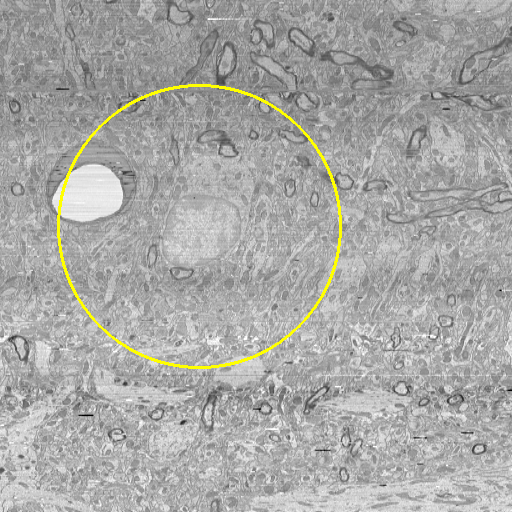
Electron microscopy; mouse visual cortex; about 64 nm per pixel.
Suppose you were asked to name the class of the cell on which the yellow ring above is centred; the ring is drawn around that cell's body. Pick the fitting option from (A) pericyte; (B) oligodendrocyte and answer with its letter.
B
